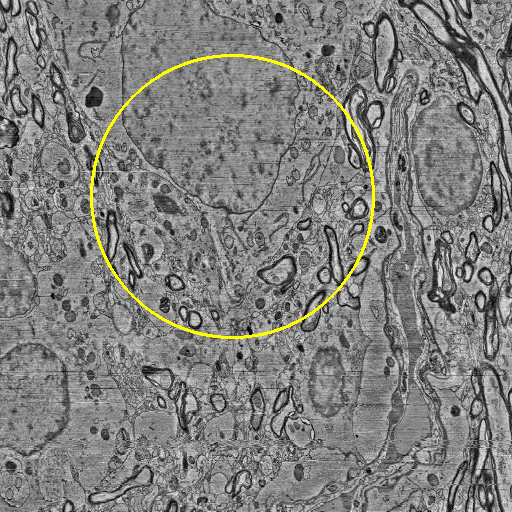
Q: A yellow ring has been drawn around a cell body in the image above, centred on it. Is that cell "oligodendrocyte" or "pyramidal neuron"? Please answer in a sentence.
The ring surrounds the cell body of a pyramidal neuron.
